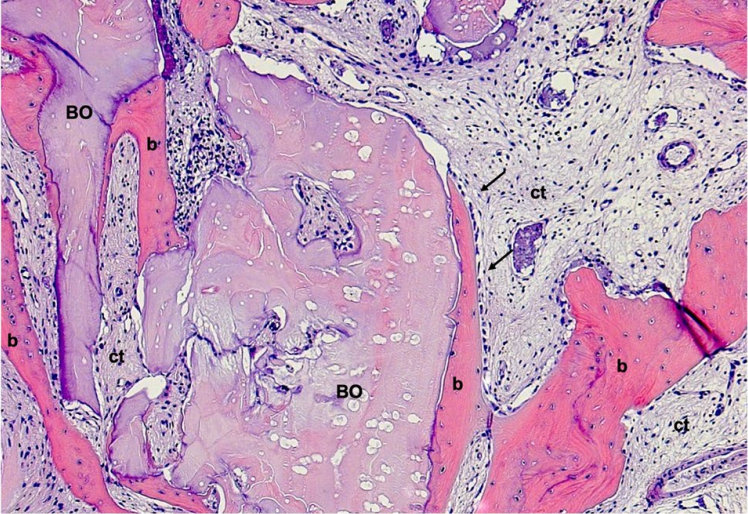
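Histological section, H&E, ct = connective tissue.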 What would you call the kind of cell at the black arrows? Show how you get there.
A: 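The arrows point to a row of small cells lining the surface of a pink bone seam. The lining cells sit between the bone surface and loose fibrous tissue.
Conclusion: osteoblasts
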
